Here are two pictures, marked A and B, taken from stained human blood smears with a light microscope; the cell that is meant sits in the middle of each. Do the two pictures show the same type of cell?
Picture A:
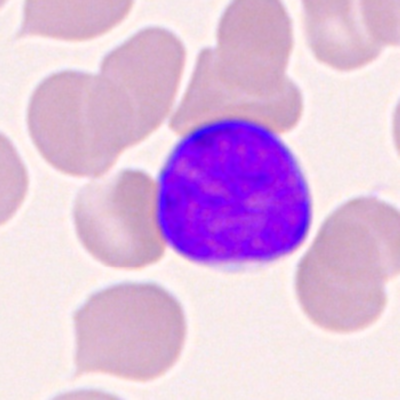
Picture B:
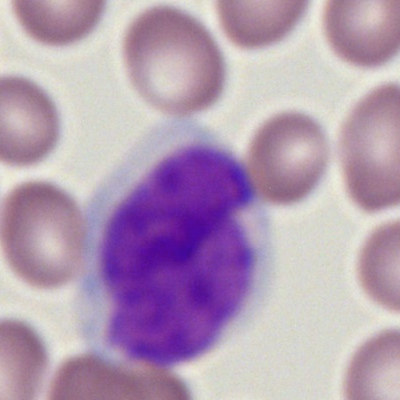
no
